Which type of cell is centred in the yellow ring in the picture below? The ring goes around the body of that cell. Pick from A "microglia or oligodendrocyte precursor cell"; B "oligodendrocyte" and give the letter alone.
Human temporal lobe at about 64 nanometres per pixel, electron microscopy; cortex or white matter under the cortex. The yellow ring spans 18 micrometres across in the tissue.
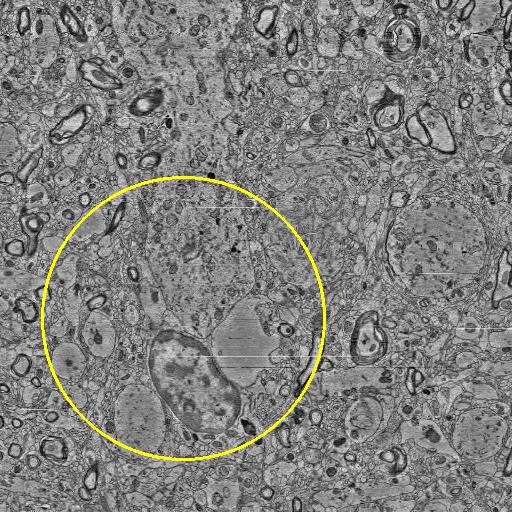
A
